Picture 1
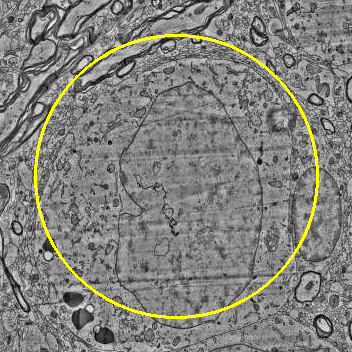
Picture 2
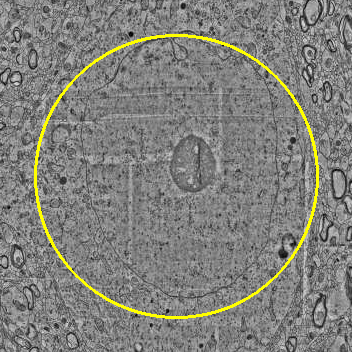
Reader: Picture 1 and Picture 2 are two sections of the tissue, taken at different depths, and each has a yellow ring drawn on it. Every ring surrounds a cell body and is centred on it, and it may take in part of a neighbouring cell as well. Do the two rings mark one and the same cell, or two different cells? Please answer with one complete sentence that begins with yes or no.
No, the two rings were placed on two different cells.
